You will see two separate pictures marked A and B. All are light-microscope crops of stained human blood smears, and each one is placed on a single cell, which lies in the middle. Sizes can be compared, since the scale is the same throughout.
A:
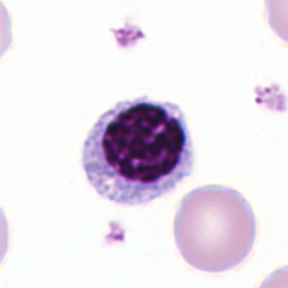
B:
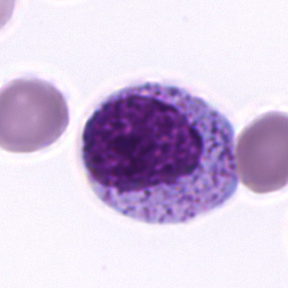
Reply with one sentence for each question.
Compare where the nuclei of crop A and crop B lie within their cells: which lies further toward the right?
The nucleus in crop A lies further toward the right of its cell.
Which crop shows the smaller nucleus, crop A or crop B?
It is the nucleus in crop A; the one in crop B has about 2 times its area.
